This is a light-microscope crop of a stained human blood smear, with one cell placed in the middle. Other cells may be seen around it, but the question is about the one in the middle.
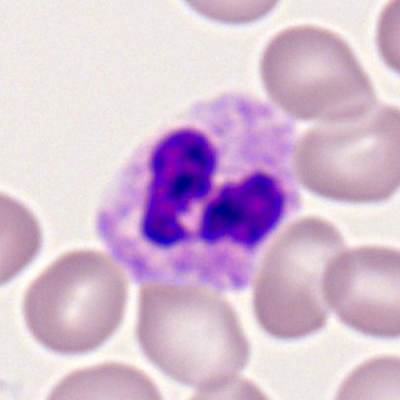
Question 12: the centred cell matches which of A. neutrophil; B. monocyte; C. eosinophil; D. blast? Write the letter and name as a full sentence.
Option A is the correct option, with the middle cell being a neutrophil.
